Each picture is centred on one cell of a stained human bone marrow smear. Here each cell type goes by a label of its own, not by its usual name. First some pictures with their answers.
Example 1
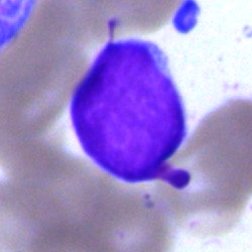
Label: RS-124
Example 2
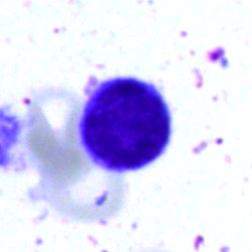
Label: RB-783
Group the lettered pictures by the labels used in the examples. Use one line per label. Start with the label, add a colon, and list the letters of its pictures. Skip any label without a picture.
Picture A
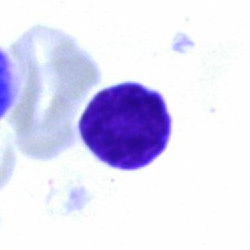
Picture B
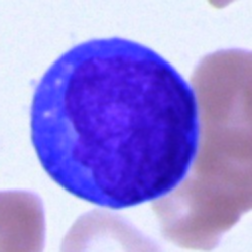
RS-124: B
RB-783: A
